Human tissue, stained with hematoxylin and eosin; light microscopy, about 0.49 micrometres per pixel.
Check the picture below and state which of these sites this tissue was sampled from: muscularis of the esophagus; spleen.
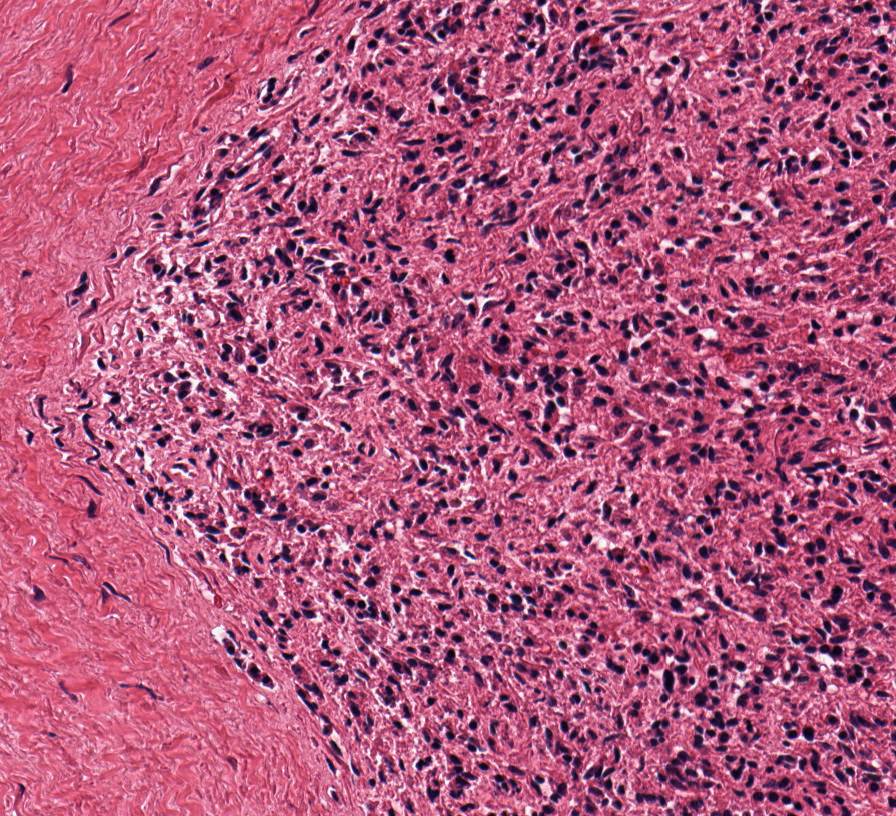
spleen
